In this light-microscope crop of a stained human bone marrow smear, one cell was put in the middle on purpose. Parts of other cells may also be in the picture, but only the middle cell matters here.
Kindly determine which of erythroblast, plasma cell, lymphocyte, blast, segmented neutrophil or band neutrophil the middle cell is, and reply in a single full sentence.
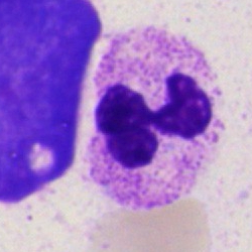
The target cell in the middle of the crop is a segmented neutrophil.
